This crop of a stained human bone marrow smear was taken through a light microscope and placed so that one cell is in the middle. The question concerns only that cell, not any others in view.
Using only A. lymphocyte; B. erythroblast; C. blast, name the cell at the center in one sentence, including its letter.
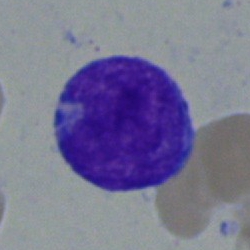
The cell placed in the middle is a blast; option C is correct.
